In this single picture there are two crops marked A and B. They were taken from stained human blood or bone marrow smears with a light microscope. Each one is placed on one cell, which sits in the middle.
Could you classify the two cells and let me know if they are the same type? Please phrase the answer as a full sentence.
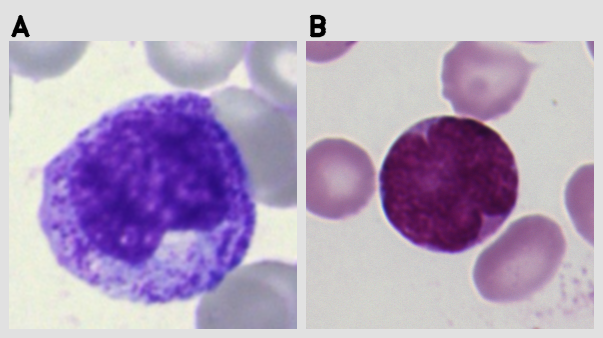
No, a myelocyte is the subject of crop A, and a blast is the subject of crop B.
